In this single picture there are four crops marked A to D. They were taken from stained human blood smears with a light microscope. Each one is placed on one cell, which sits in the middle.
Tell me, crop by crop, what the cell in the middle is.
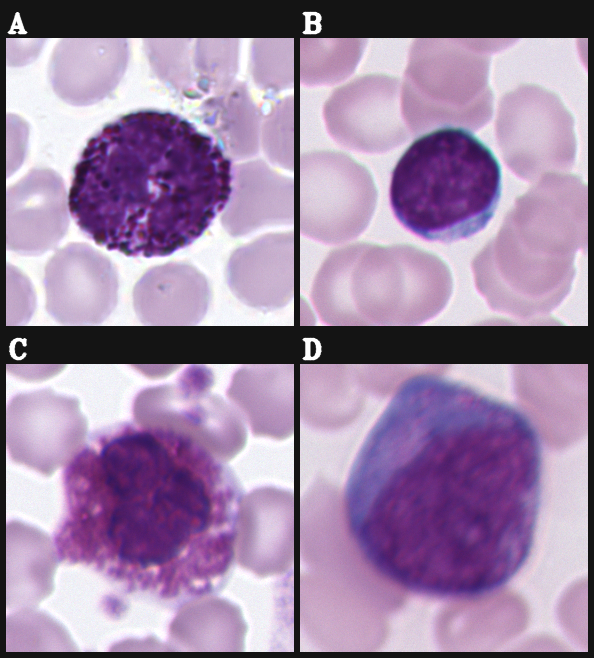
A: basophil
B: typical lymphocyte
C: eosinophil
D: promyelocyte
